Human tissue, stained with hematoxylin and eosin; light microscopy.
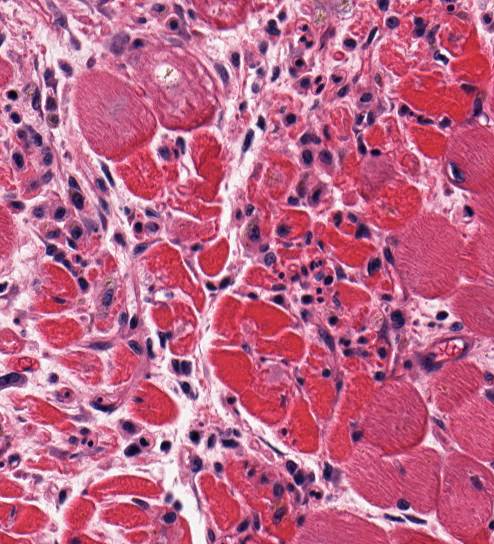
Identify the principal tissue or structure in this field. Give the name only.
myocardium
